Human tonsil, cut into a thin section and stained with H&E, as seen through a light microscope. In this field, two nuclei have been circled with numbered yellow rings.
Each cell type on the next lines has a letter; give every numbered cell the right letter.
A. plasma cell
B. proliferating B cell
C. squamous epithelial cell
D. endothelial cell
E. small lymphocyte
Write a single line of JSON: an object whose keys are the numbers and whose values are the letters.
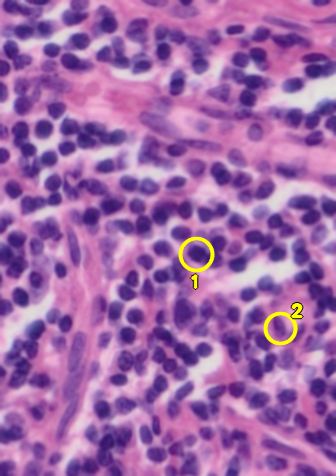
{"1": "E", "2": "D"}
